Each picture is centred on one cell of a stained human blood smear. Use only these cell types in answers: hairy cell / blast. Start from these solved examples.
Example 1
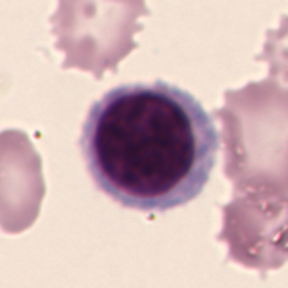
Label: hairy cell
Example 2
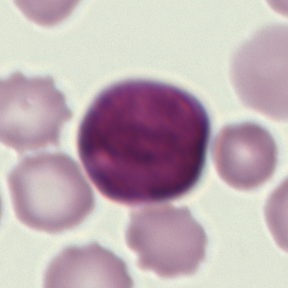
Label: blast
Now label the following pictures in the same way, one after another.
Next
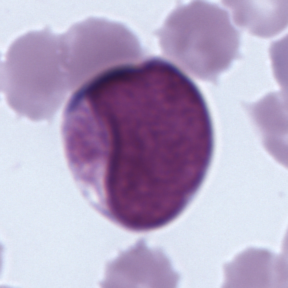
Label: blast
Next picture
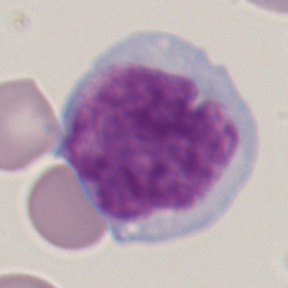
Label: blast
